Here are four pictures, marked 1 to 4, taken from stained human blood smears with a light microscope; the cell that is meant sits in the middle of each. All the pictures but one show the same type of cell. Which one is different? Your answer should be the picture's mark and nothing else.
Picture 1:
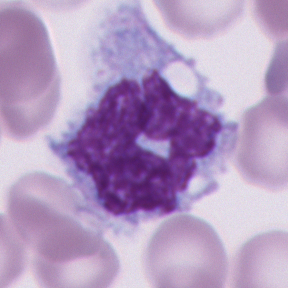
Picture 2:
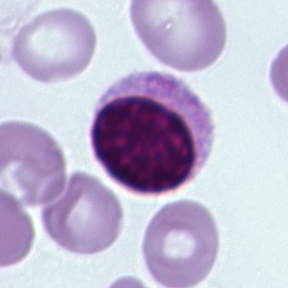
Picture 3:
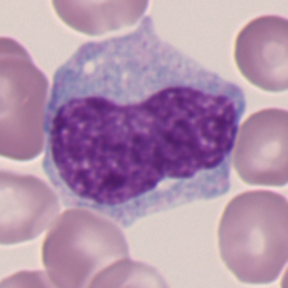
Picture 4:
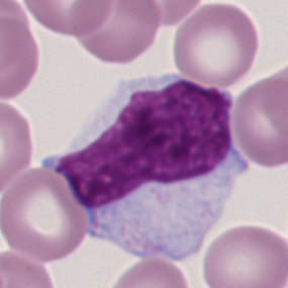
2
